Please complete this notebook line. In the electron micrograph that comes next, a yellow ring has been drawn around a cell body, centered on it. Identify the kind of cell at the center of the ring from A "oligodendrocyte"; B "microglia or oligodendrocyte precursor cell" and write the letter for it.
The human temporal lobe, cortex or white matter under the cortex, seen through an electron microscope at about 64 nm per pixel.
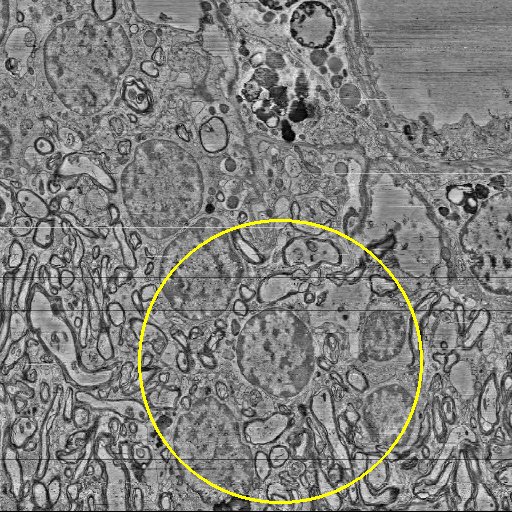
B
